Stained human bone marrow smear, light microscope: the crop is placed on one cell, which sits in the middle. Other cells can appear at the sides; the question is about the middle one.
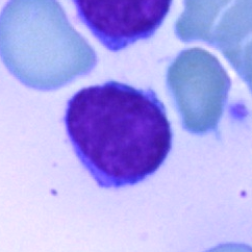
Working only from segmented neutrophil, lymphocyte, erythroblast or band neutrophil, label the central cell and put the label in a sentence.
The cell that lies at the centre of the crop is a lymphocyte.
